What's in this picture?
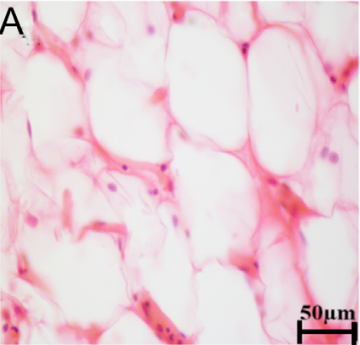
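Here is adipose tissue with rounded adipocytes whose contents appear as large clear spaces, framed by pink-staining cytoplasmic rims and membranes. Between the fat cells the pink stroma is comparatively thicker in places and holds scattered small round or oval purple nuclei, some lying at the periphery of the adipocytes and others in the connective tissue between them. The cells vary somewhat in size and outline, and the septa form an irregular network around them rather than a thin uniform mesh.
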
